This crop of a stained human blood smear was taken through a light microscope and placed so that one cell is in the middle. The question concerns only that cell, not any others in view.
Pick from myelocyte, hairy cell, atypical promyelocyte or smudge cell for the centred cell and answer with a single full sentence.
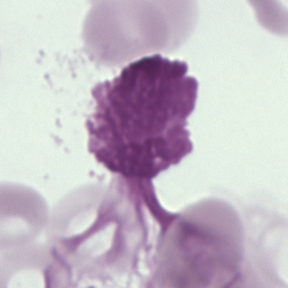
The middle of this crop is occupied by a smudge cell.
